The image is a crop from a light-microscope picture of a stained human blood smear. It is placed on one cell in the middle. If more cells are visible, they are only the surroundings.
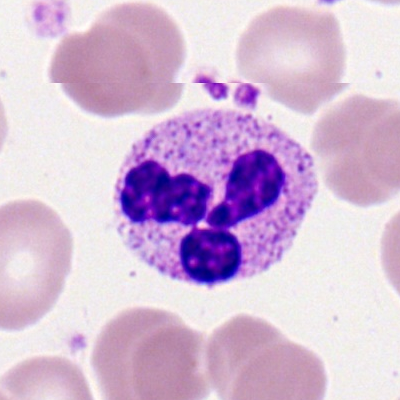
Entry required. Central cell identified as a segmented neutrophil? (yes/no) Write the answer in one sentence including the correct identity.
Yes, a segmented neutrophil is what the central cell is.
